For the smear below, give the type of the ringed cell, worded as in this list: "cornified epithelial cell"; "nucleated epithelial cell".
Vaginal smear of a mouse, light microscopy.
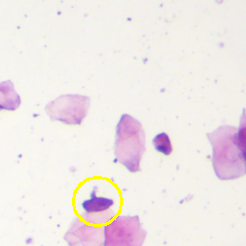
nucleated epithelial cell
